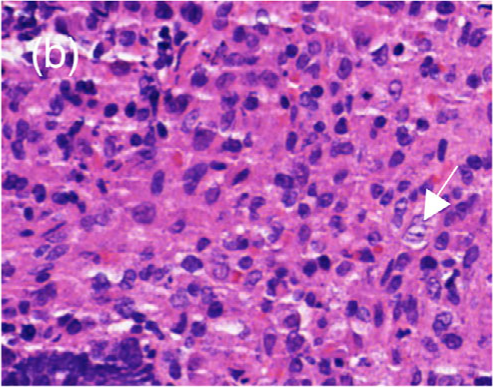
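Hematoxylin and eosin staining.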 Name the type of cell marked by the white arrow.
Langerhans cell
